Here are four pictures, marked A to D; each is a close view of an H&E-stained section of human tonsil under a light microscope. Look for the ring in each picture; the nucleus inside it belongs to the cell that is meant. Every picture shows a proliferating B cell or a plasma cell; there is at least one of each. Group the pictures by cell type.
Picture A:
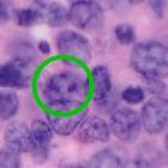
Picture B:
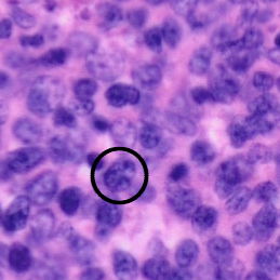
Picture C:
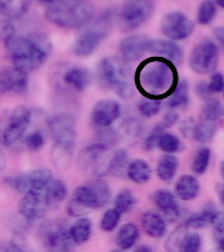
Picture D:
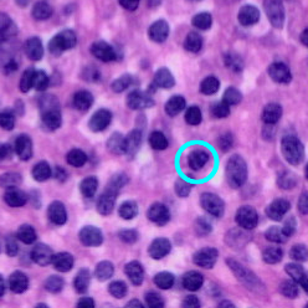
A: proliferating B cell
B: proliferating B cell
C: proliferating B cell
D: plasma cell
